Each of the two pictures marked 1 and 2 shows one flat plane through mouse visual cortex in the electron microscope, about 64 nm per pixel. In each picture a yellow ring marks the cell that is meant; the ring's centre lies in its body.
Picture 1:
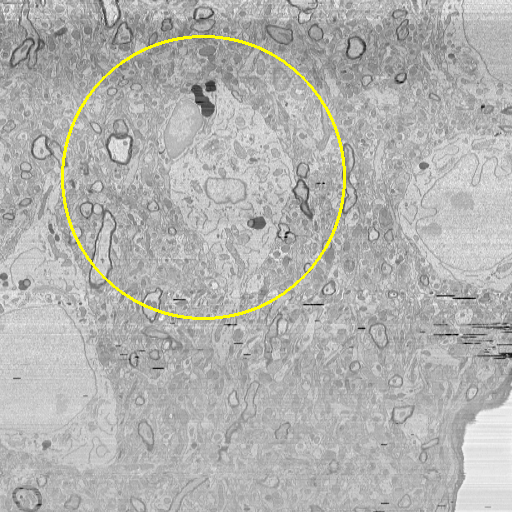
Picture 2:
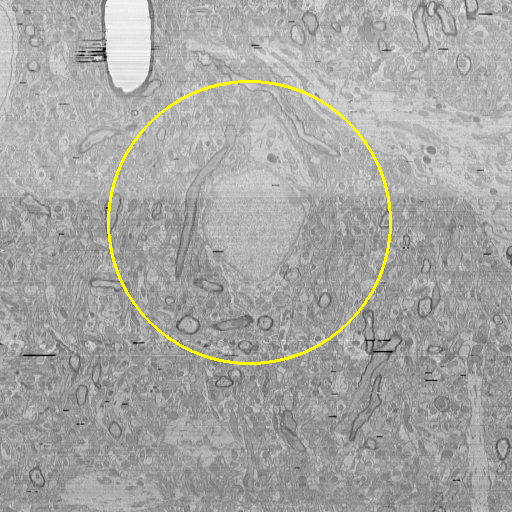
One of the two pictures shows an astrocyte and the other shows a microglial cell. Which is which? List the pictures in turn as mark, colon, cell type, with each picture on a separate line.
1: microglial cell
2: astrocyte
